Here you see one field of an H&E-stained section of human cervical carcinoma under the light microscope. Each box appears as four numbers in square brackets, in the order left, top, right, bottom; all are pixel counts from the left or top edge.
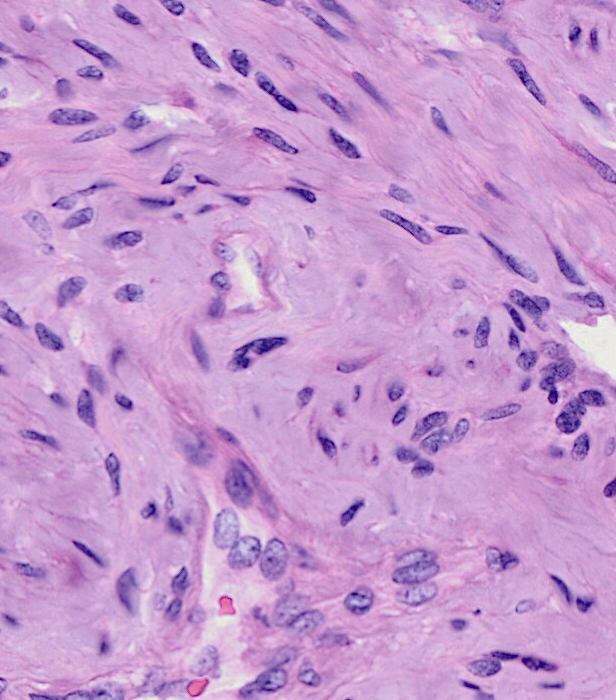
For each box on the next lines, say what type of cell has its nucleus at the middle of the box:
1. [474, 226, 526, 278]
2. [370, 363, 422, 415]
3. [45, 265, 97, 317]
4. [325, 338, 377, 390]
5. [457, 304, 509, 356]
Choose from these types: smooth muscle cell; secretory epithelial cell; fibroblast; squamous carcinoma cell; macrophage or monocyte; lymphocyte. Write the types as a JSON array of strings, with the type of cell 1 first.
["fibroblast", "smooth muscle cell", "fibroblast", "smooth muscle cell", "fibroblast"]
